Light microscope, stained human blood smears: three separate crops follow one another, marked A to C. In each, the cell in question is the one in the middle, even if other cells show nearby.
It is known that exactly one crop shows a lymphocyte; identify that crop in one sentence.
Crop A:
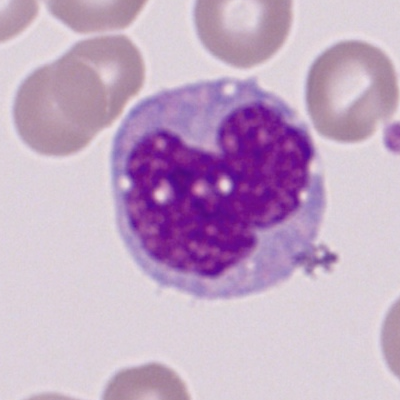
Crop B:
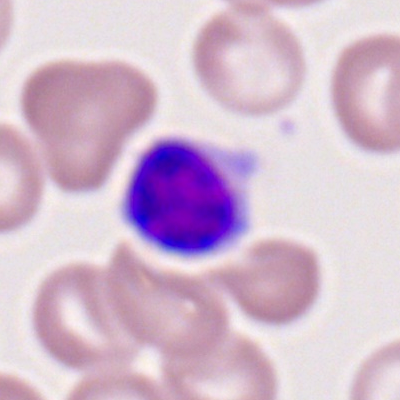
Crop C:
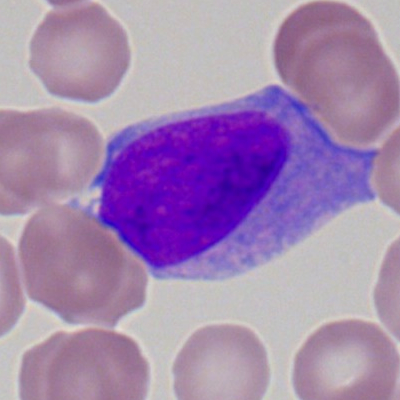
Crop B is the one in this set that shows a lymphocyte.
